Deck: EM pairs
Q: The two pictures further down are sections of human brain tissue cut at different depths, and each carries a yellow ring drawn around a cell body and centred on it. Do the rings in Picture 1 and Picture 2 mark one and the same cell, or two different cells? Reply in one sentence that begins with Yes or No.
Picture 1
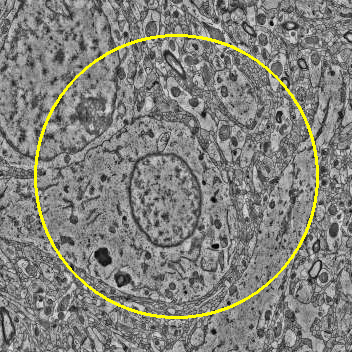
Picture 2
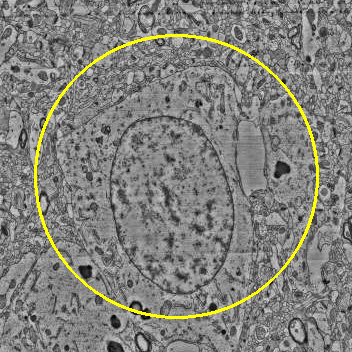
No, the rings mark separate cells, one per ring.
